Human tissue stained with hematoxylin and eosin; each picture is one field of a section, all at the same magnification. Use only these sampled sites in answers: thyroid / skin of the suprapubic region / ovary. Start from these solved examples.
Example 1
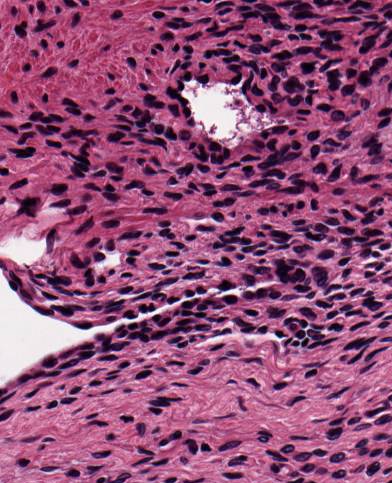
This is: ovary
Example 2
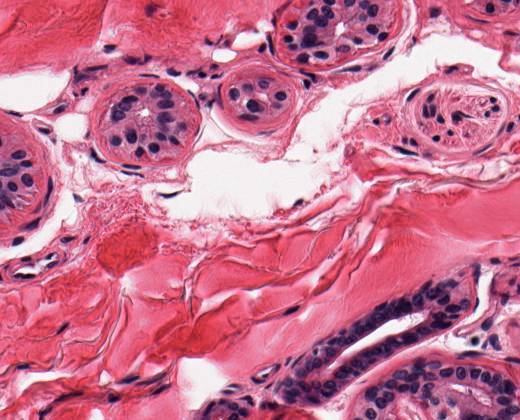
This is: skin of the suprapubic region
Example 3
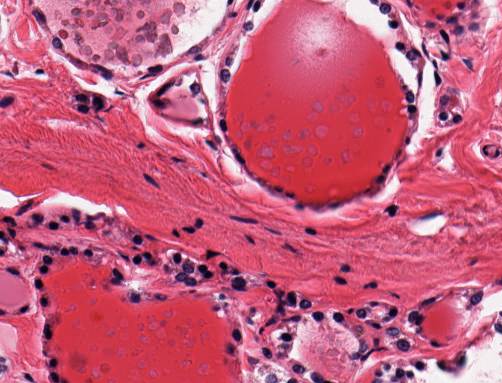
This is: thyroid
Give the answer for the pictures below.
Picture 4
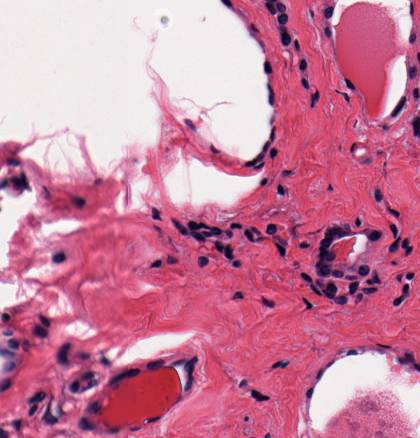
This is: thyroid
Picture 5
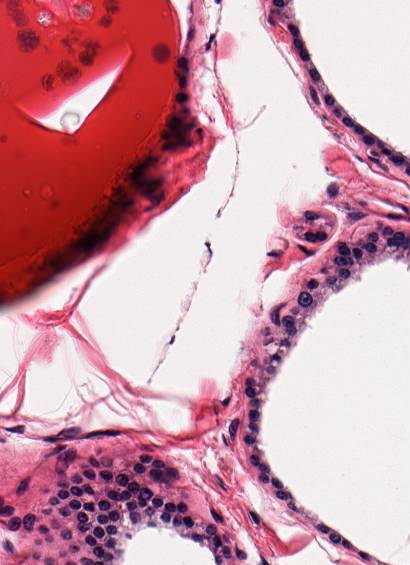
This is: thyroid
